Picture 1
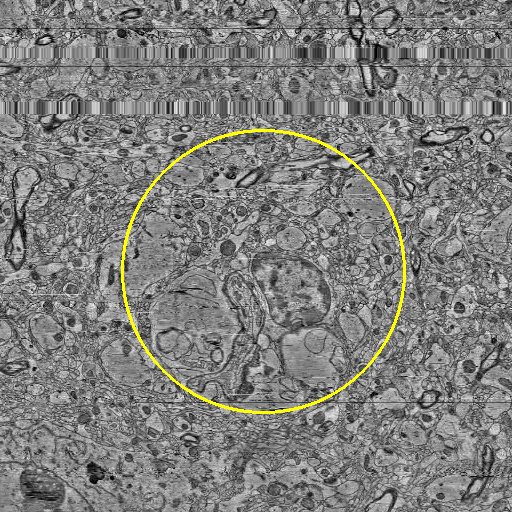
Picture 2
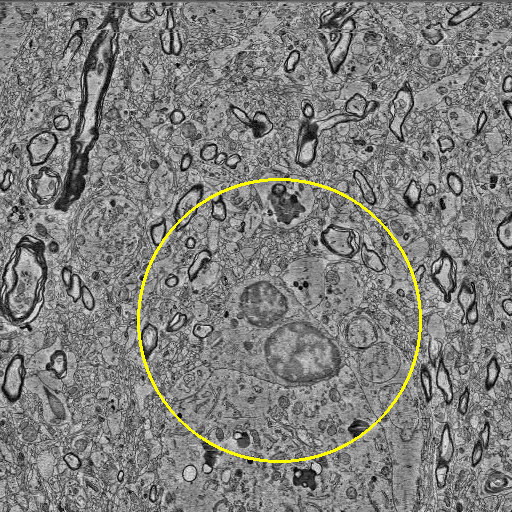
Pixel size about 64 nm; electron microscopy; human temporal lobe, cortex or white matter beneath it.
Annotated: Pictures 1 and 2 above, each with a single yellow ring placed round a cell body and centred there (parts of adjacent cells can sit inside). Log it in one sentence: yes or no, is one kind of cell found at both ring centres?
No, the ring centres of the two pictures hold cells of two kinds.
